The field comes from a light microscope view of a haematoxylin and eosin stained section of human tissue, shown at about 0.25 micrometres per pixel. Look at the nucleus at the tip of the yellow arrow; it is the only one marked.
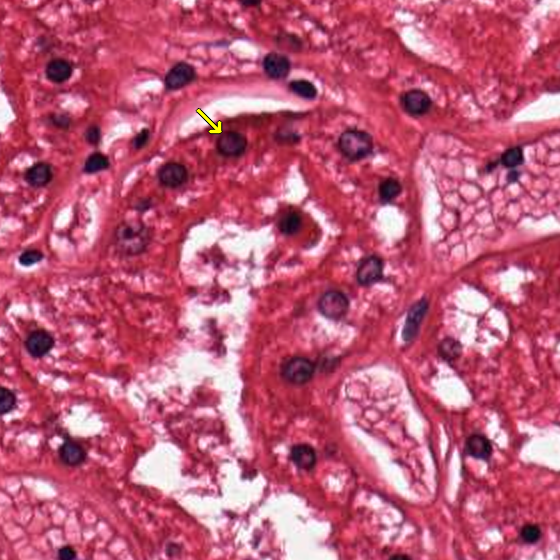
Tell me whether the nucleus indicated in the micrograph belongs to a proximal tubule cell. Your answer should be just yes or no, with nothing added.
yes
